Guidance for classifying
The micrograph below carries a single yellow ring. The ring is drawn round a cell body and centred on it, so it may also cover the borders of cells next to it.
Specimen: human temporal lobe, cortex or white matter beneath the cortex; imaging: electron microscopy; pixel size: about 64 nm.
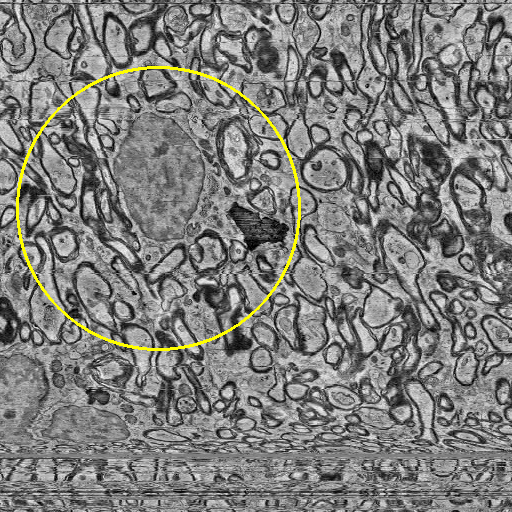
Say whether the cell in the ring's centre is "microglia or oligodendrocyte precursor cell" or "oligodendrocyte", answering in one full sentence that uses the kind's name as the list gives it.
Within the yellow ring, an oligodendrocyte is the cell whose body sits at the centre.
